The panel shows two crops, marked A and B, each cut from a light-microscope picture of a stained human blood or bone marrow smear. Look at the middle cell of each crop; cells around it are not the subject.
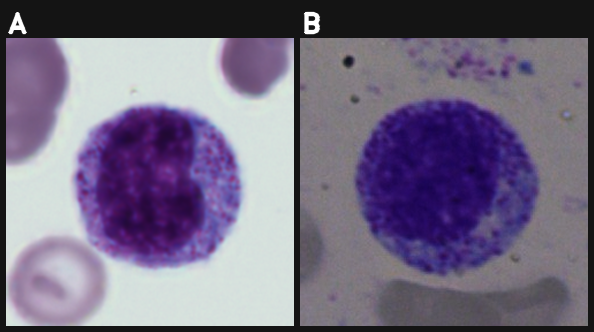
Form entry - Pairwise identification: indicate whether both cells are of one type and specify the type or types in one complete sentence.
Yes, put down myelocytes for both crops.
